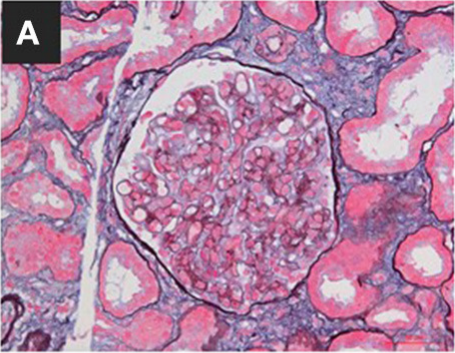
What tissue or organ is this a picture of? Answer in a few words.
glomerulus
